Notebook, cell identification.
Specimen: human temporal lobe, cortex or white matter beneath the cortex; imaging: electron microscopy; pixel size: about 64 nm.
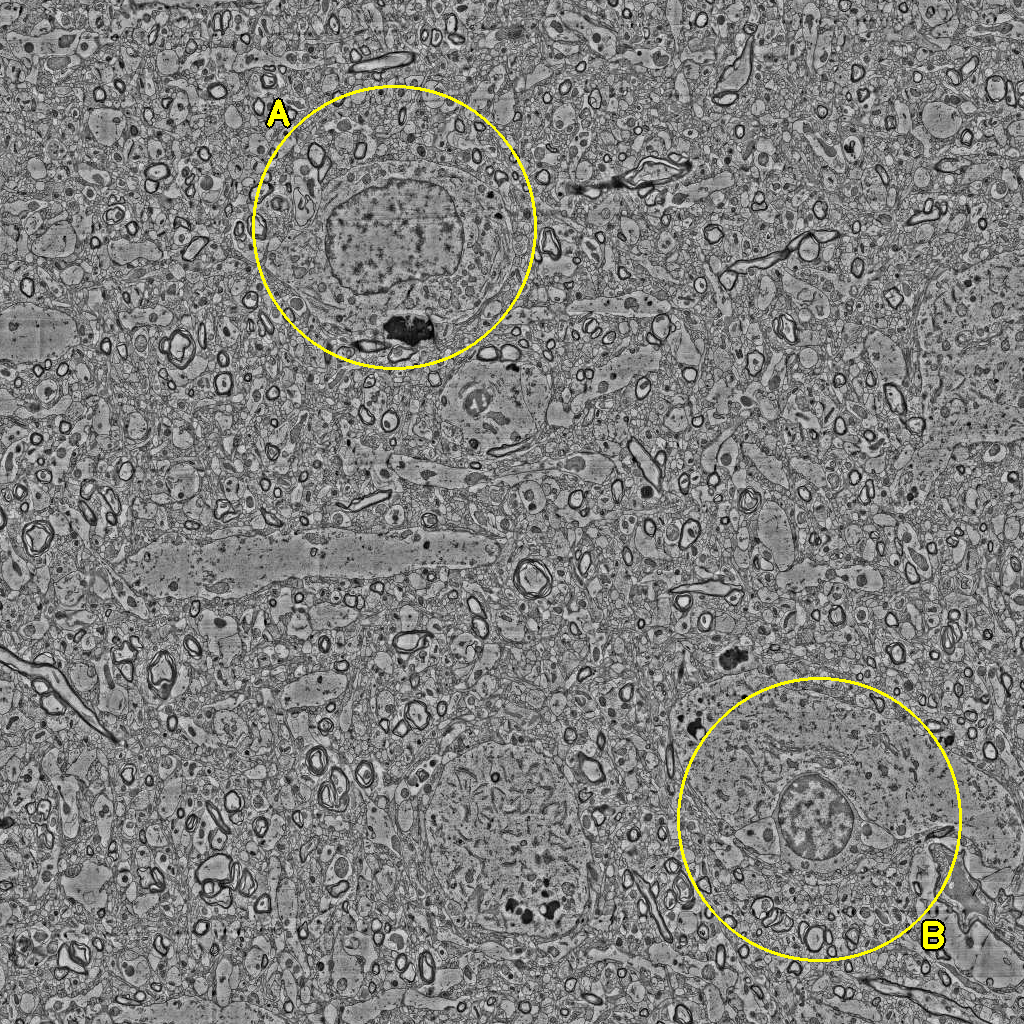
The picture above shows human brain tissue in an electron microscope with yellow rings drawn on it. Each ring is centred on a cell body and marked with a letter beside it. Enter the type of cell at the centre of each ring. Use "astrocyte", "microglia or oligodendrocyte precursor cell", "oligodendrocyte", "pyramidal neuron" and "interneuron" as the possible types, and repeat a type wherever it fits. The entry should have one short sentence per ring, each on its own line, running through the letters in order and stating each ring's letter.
The cell body in ring A belongs to an interneuron.
The cell body in ring B belongs to an oligodendrocyte.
